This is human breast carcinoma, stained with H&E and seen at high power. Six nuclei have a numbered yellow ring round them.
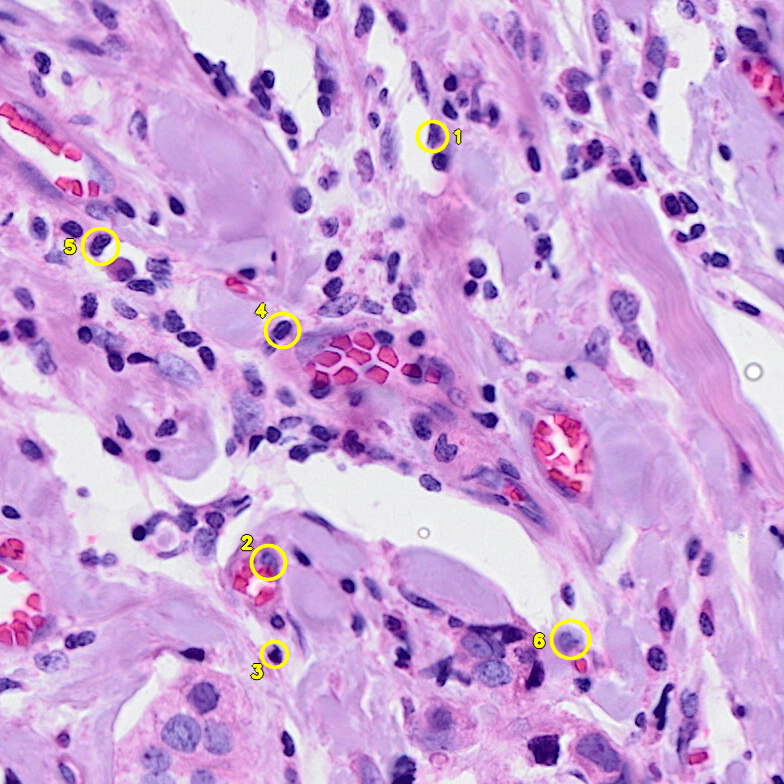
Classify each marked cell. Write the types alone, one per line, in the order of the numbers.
lymphocyte
endothelial cell
lymphocyte
lymphocyte
lymphocyte
endothelial cell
